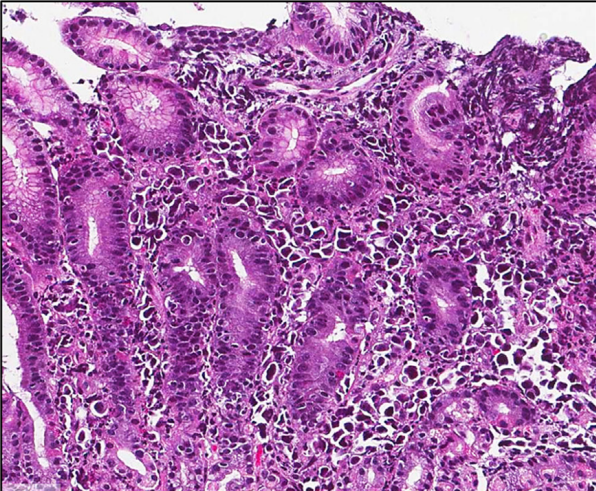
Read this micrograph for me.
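This is gastric mucosa in which numerous atypical cells replace the lamina propria between the glands. The infiltrate fills the spaces between glands down the mucosa, leaving no normal loose stroma.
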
